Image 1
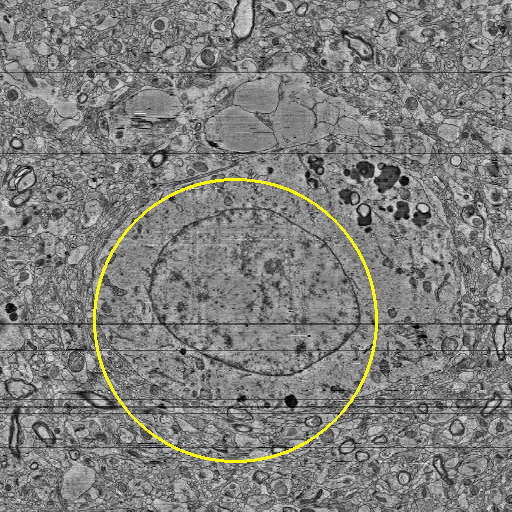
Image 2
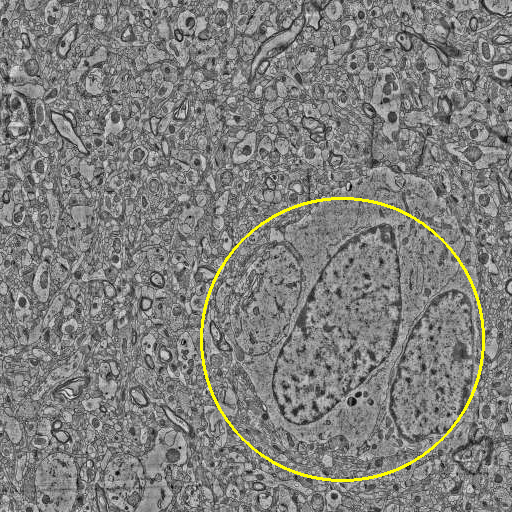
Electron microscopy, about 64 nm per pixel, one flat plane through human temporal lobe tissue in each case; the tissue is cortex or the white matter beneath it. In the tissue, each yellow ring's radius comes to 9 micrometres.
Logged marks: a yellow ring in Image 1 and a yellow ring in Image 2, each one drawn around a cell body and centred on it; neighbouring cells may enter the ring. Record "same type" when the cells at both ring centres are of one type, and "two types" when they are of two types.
two types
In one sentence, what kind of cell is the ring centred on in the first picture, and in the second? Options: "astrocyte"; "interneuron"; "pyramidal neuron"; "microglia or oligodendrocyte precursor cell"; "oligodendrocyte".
The cell at the centre of the second ring is a microglial cell or oligodendrocyte precursor cell; the first ring's cell is a pyramidal neuron.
